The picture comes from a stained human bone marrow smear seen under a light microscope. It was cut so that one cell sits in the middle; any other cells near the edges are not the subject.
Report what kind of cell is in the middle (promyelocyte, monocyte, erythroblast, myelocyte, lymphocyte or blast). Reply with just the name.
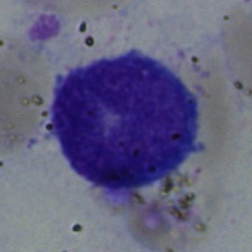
blast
